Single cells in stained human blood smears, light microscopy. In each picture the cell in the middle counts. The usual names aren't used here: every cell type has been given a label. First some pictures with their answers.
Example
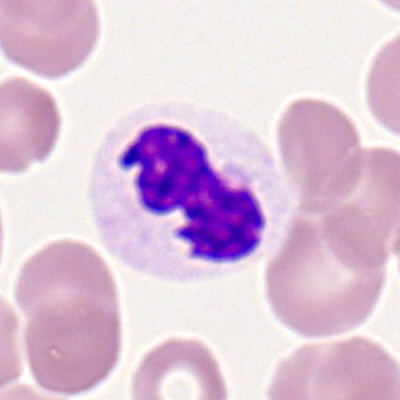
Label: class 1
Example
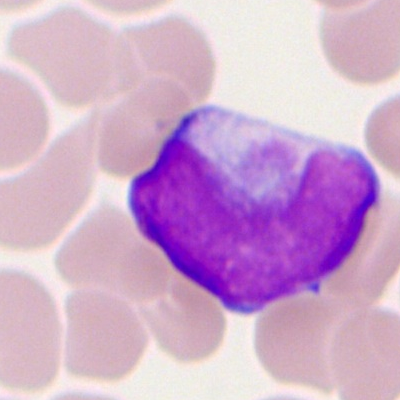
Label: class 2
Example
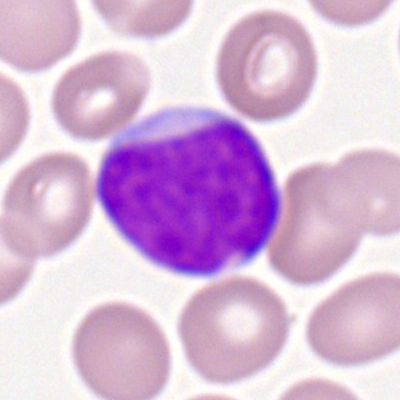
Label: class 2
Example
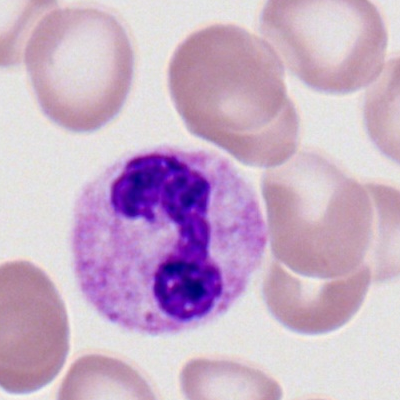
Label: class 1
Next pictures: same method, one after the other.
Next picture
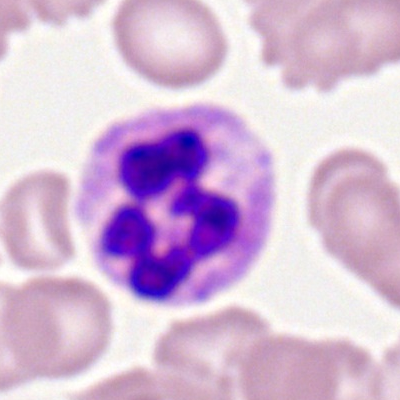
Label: class 1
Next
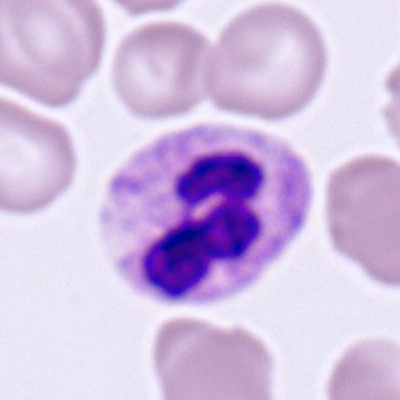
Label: class 1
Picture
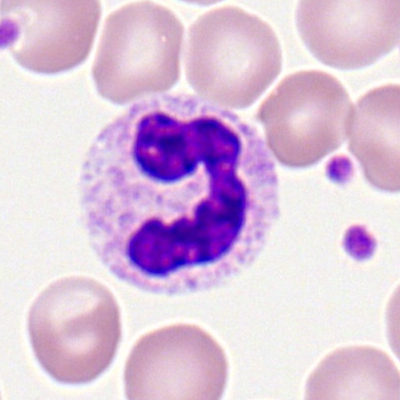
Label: class 1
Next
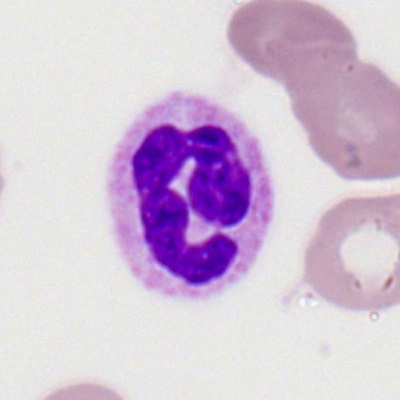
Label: class 1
